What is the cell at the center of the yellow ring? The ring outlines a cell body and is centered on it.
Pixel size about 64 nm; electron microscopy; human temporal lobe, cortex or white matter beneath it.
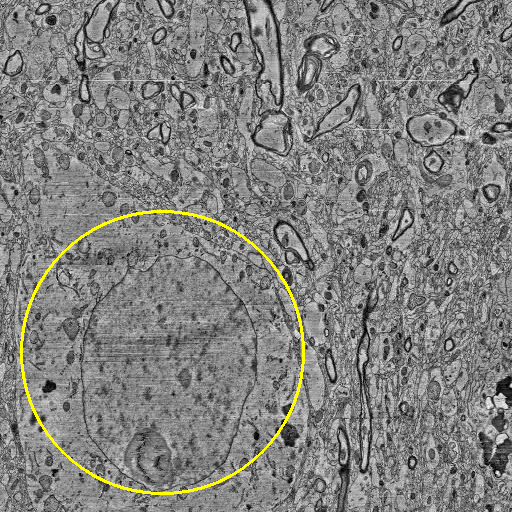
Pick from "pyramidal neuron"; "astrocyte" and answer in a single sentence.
The yellow ring is centered on a pyramidal neuron.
